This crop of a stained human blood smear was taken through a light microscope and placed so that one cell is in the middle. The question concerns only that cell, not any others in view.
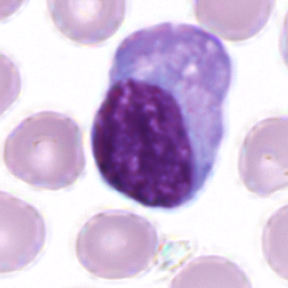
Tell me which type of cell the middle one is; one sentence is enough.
In the middle of this smear crop is a plasma cell.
